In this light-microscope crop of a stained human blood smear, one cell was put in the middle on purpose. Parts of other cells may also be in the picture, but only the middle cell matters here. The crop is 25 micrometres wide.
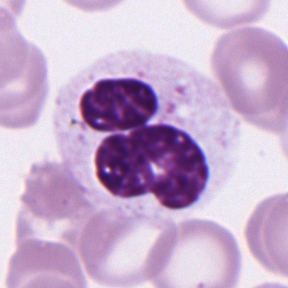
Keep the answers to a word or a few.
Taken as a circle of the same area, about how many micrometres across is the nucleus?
10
